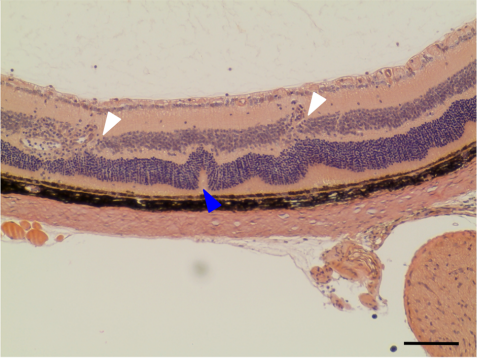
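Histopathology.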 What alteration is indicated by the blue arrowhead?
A: retinal folding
